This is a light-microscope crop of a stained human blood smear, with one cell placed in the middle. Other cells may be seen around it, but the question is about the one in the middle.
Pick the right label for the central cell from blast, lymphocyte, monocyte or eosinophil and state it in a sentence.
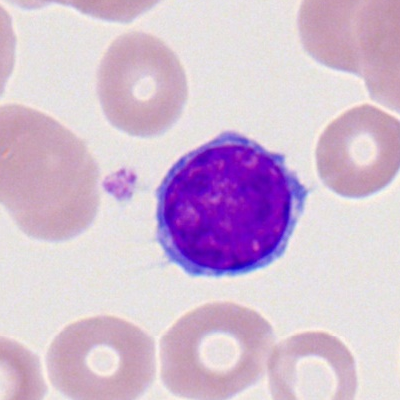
The cell at the middle of the crop is recognized as a lymphocyte.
